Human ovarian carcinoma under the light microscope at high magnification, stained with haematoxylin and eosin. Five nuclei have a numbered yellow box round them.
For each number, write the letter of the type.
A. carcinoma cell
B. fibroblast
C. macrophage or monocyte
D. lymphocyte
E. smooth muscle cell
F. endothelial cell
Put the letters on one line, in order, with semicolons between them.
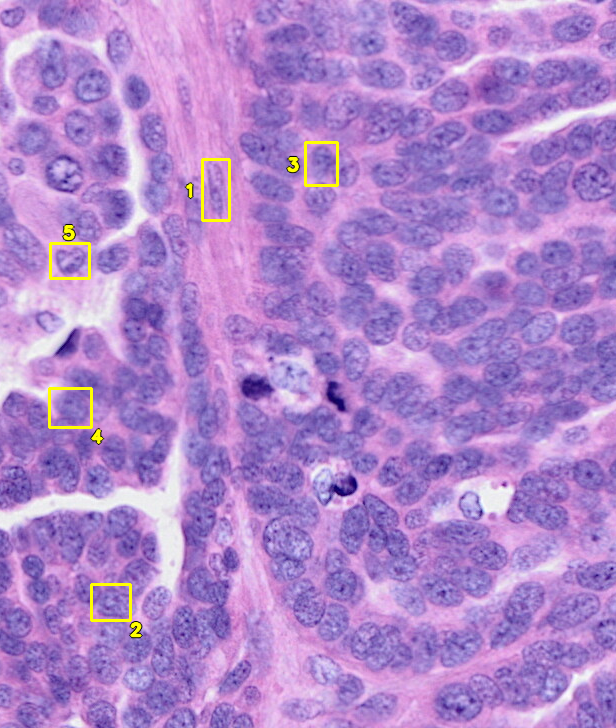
B; A; A; A; C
